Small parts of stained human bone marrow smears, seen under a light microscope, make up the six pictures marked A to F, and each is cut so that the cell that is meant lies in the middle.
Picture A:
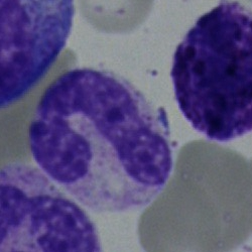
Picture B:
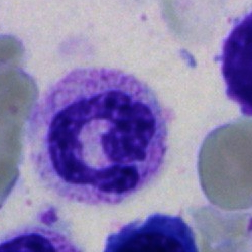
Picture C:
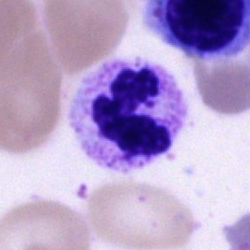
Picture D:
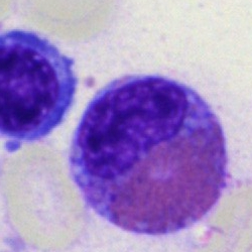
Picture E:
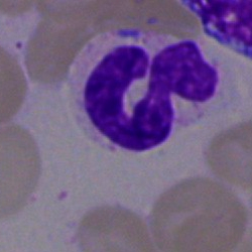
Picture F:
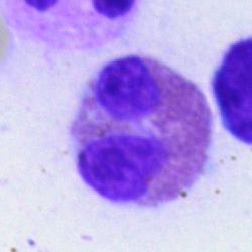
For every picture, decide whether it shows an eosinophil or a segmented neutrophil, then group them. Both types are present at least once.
A: segmented neutrophil
B: segmented neutrophil
C: segmented neutrophil
D: eosinophil
E: segmented neutrophil
F: eosinophil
